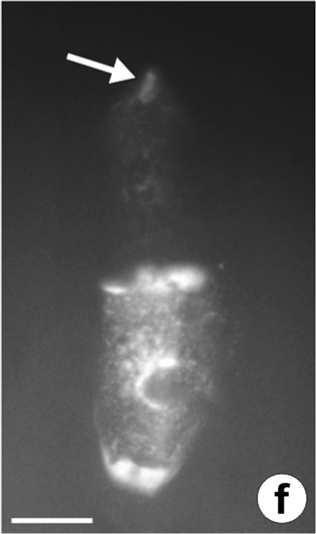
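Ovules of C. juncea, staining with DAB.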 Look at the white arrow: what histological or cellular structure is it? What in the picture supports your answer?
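A small bright spot at the upper tip of the cell file. The upper cell is otherwise dim.
Answer: a remaining small callose deposit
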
